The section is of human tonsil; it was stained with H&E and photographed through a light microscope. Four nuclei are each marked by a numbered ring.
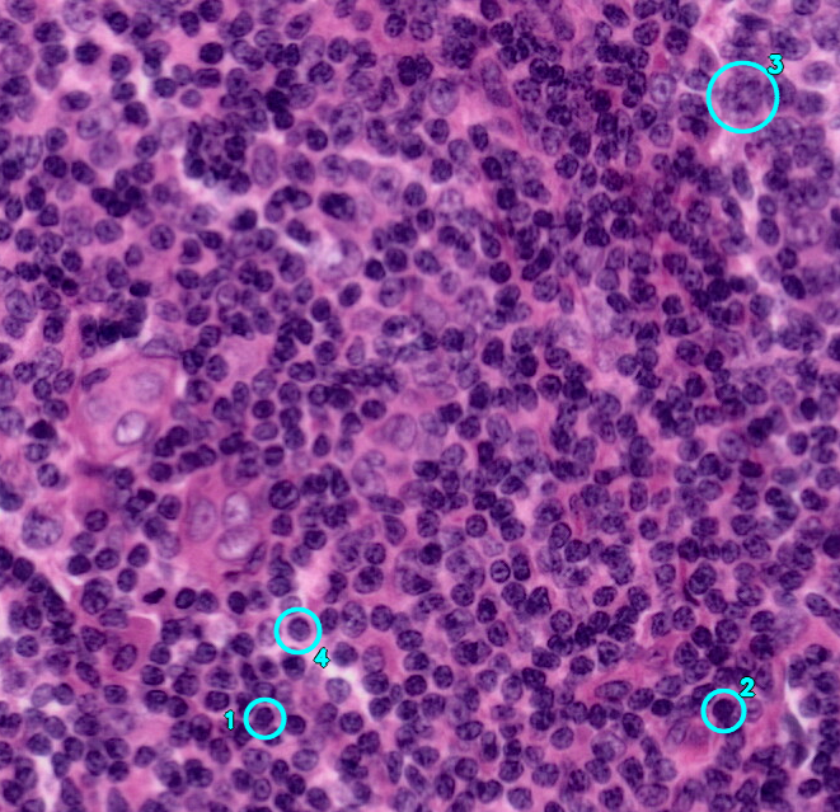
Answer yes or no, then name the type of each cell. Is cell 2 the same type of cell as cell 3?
No, that's wrong; cell 2 is a small lymphocyte and cell 3 is a proliferating B cell.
